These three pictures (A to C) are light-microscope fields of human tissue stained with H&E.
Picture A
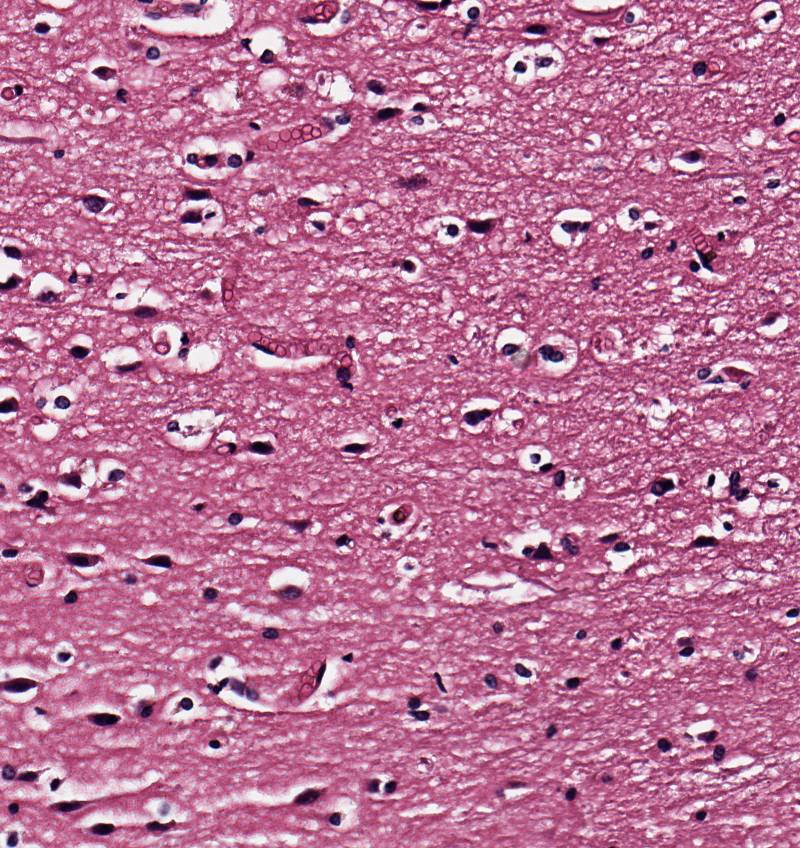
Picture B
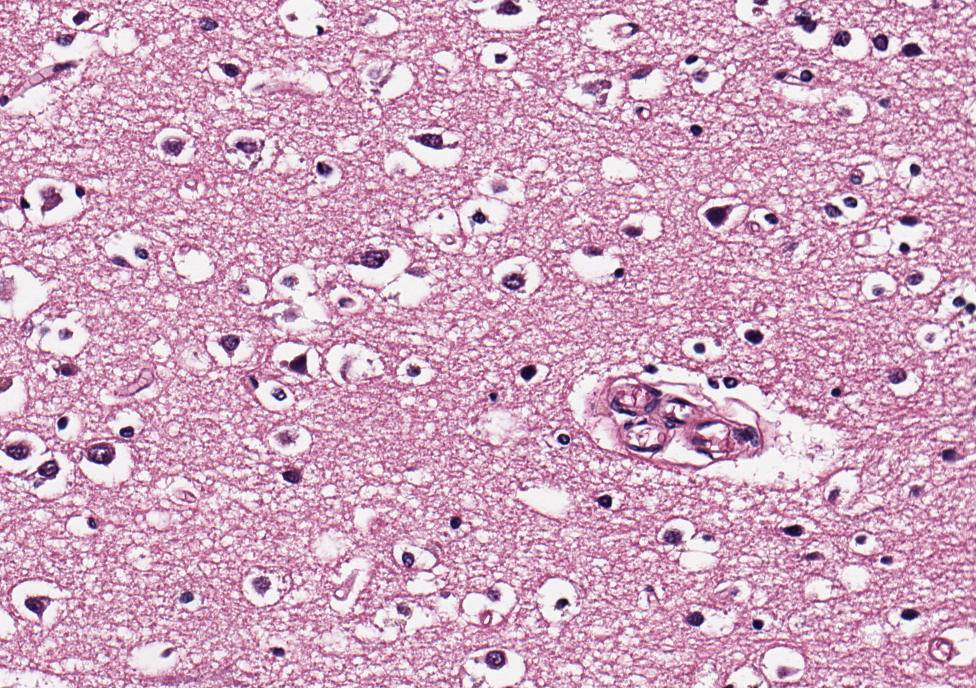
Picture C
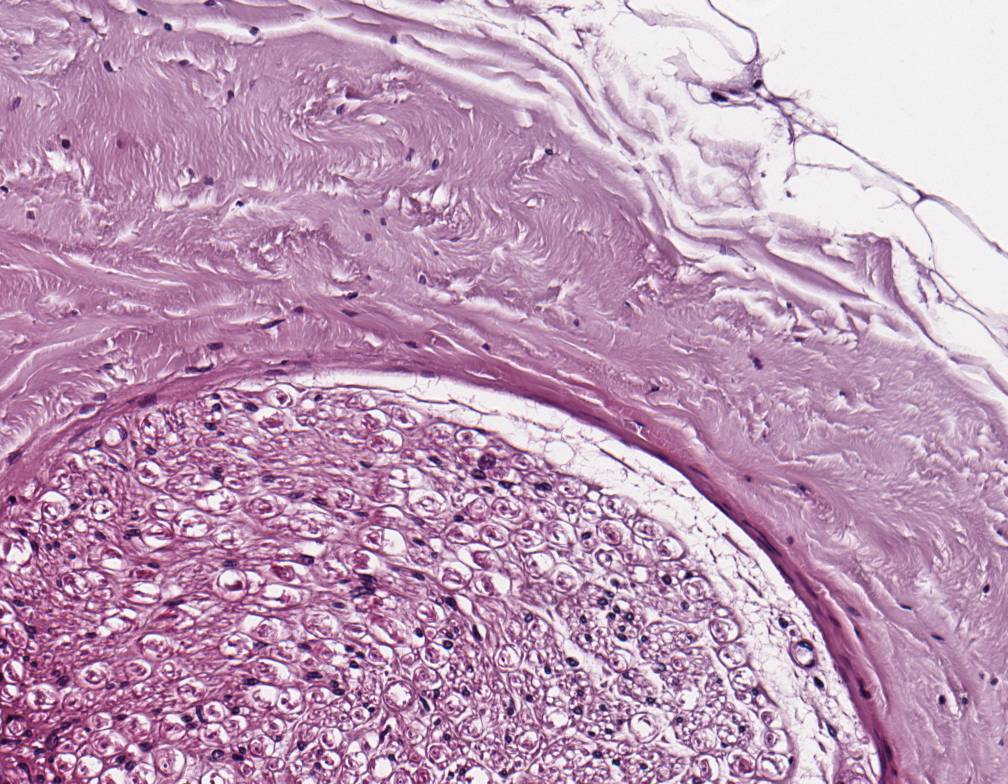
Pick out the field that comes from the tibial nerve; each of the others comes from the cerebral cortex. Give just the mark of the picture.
C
